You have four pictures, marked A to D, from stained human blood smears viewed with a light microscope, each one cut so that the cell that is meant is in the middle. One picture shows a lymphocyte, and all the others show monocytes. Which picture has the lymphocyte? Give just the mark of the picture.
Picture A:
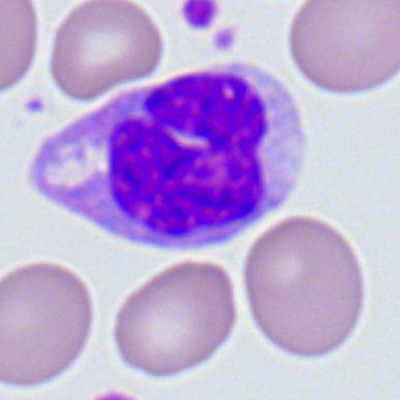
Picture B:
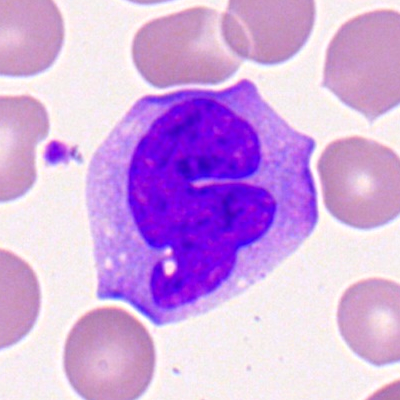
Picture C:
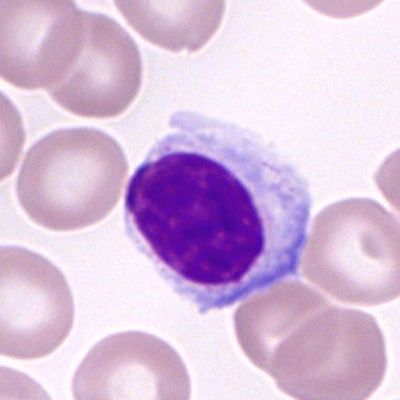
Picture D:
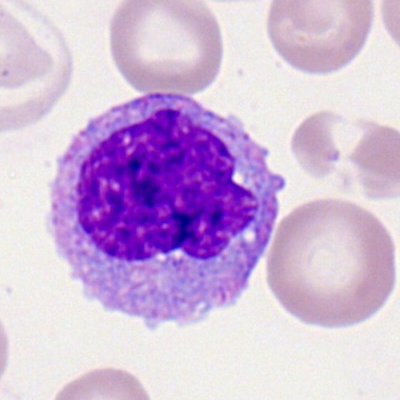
C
